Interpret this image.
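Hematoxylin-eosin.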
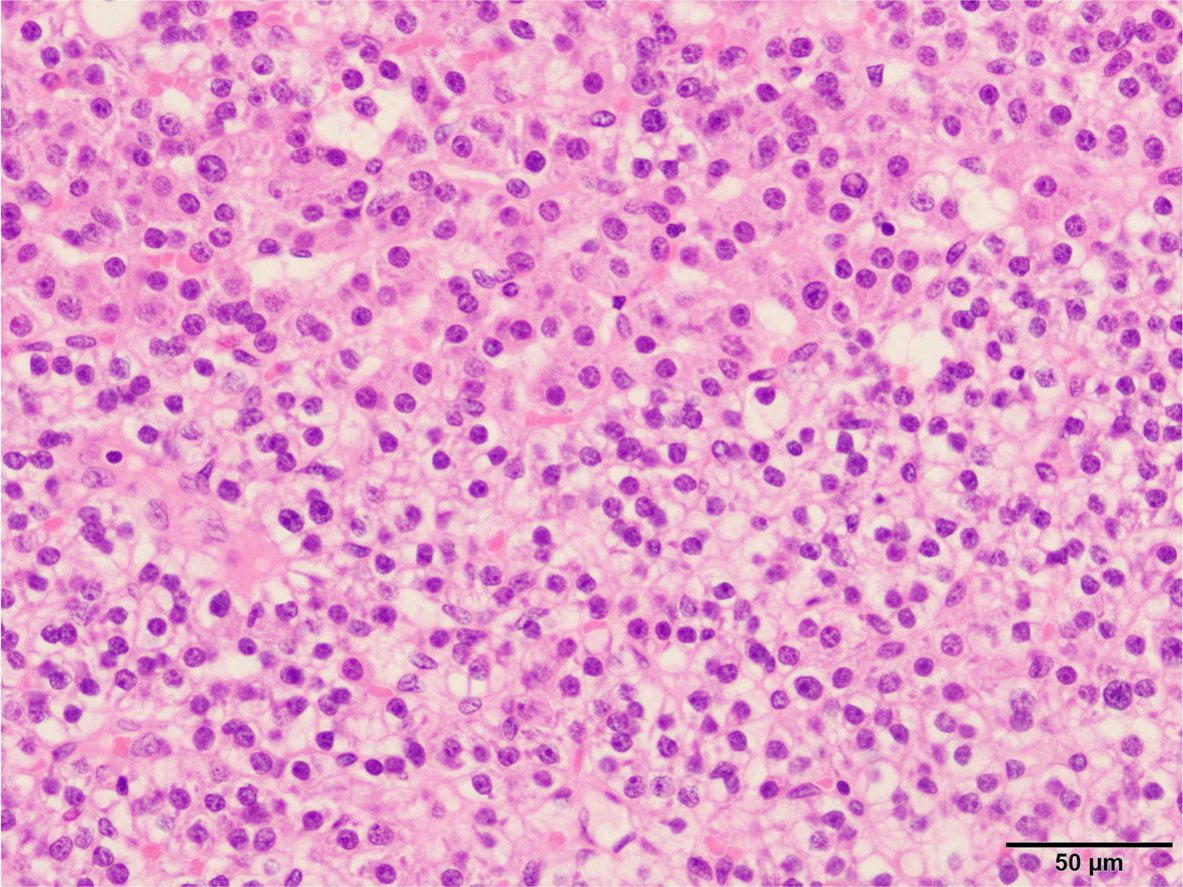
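Cells are closely packed and polygonal, with delicate, often indistinct borders. Nuclei are small, round to slightly oval, centrally placed and fairly uniform, with dark purple, finely granular chromatin. Irregular clear spaces occur between cells. A fine network of thin-walled capillaries containing red blood cells runs through the sheets. No glandular lumens, necrosis or marked nuclear pleomorphism are seen.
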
